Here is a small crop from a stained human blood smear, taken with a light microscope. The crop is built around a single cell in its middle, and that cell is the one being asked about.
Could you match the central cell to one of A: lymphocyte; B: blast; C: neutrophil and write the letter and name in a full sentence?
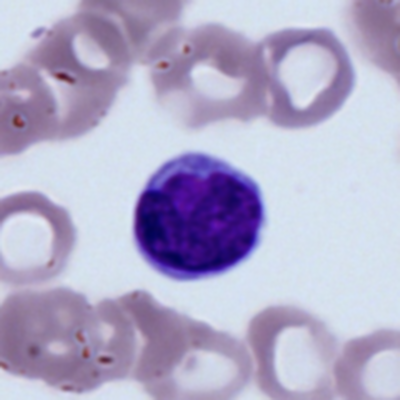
The one to choose is option A, as the cell in the middle is a lymphocyte.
